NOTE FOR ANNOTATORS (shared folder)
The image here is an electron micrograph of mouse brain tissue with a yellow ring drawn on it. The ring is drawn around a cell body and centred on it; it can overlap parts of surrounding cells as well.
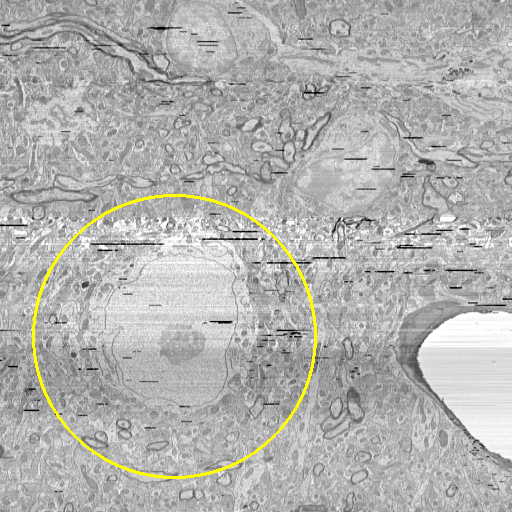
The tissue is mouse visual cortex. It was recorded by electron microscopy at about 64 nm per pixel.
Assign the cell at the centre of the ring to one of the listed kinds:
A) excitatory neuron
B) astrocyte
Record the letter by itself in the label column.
A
